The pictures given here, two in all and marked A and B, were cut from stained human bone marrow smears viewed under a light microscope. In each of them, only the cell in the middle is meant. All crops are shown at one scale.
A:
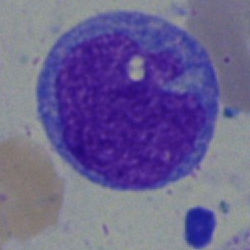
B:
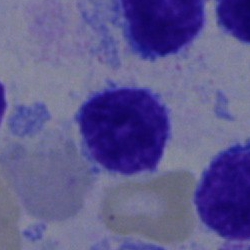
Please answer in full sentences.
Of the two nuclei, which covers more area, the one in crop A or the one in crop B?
Crop A shows the larger nucleus; it covers about 2.5 times the area of the nucleus in crop B.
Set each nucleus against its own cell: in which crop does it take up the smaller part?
In crop A the nucleus takes up the smaller part of its cell.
